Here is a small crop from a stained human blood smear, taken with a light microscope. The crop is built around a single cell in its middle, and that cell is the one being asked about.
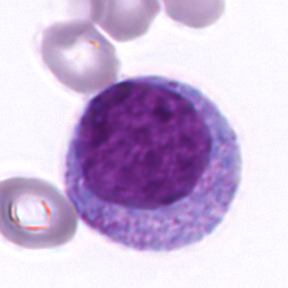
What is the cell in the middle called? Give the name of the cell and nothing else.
promyelocyte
